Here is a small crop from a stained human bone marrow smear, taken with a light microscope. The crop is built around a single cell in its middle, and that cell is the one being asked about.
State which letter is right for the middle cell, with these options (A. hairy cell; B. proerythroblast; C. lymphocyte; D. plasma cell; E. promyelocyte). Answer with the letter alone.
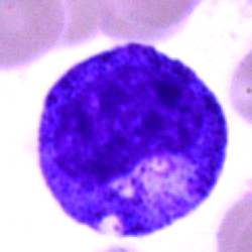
E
